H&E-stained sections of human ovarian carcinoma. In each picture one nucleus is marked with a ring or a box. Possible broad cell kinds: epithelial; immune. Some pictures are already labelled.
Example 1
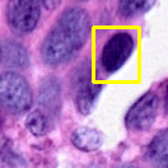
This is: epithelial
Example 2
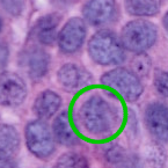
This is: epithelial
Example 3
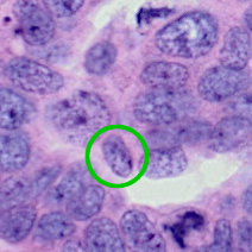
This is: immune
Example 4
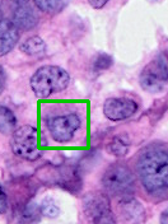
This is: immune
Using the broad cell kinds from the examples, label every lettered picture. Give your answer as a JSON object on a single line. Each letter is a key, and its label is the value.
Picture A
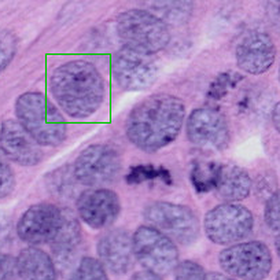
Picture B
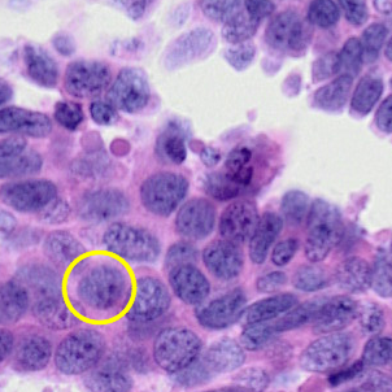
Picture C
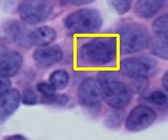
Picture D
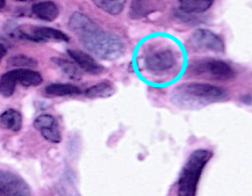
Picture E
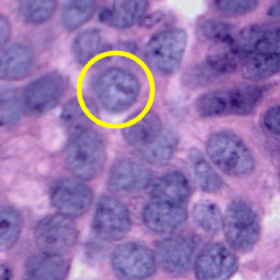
{"A": "epithelial", "B": "epithelial", "C": "epithelial", "D": "immune", "E": "epithelial"}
